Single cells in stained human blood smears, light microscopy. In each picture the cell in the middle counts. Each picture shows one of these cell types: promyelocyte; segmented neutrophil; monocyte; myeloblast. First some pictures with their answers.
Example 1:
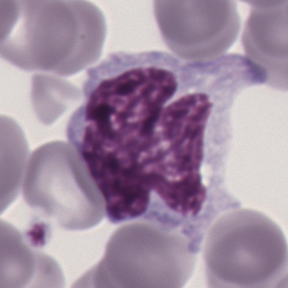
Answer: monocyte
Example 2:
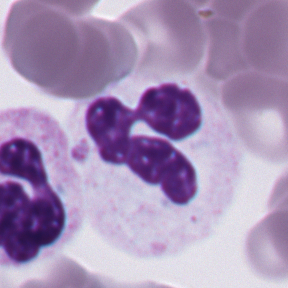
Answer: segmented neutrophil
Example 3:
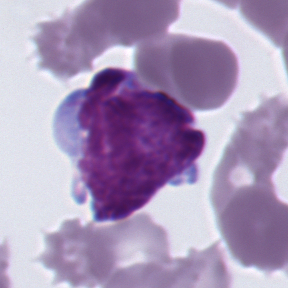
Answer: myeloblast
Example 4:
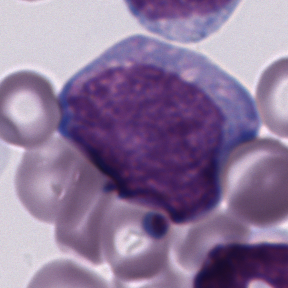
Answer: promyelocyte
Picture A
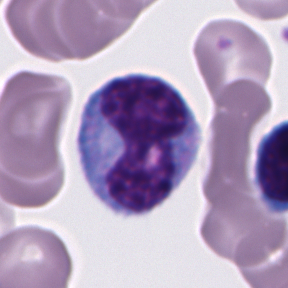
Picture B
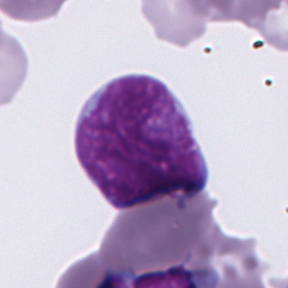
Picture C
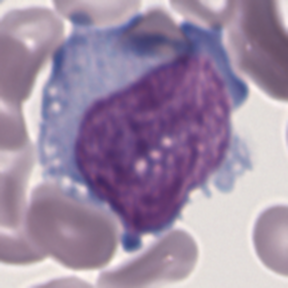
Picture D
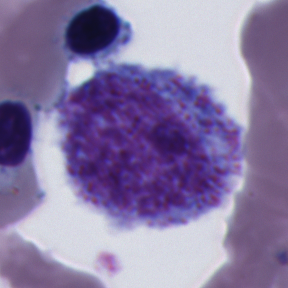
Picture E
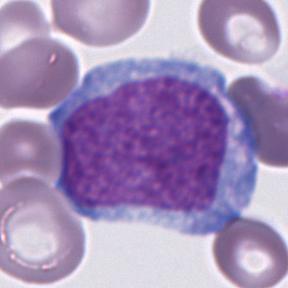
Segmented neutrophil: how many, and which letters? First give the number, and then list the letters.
0, none of them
